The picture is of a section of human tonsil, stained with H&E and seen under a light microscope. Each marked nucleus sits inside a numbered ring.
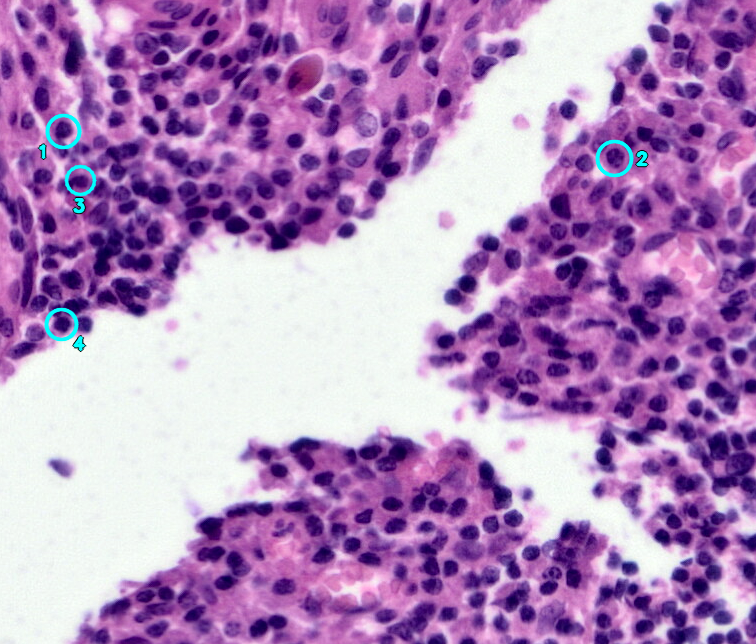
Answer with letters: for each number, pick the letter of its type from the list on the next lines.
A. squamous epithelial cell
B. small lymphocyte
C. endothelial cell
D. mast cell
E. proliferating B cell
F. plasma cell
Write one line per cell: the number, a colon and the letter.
1: F
2: F
3: F
4: B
